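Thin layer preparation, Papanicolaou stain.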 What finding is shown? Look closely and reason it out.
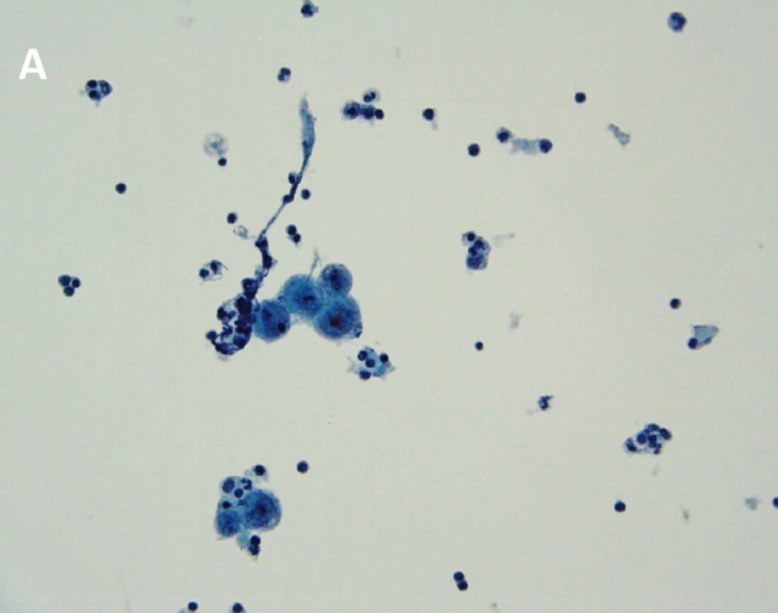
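Each large nucleus holds a distinct dark central dot. The dot stands out against paler nuclear chromatin.
Prominent nucleoli.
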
